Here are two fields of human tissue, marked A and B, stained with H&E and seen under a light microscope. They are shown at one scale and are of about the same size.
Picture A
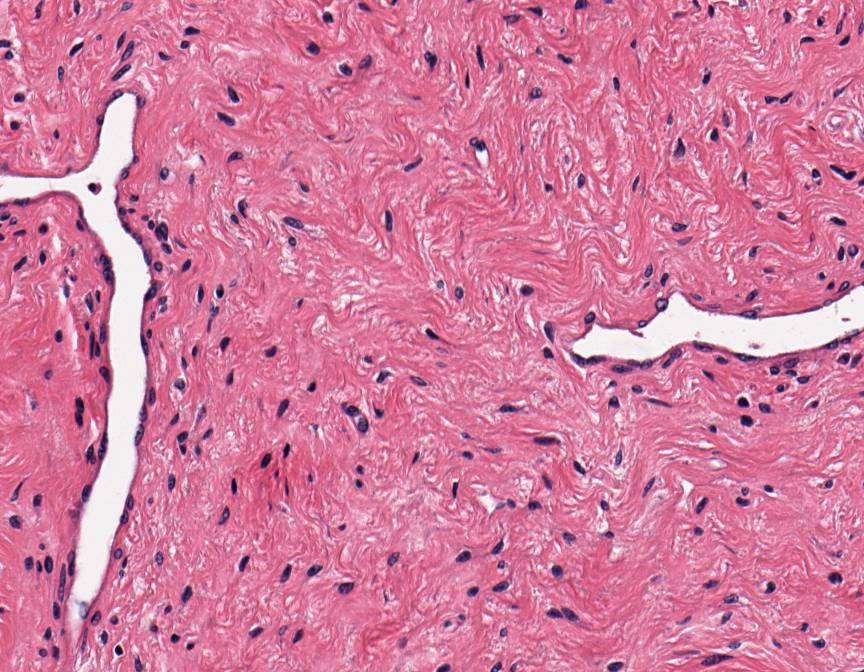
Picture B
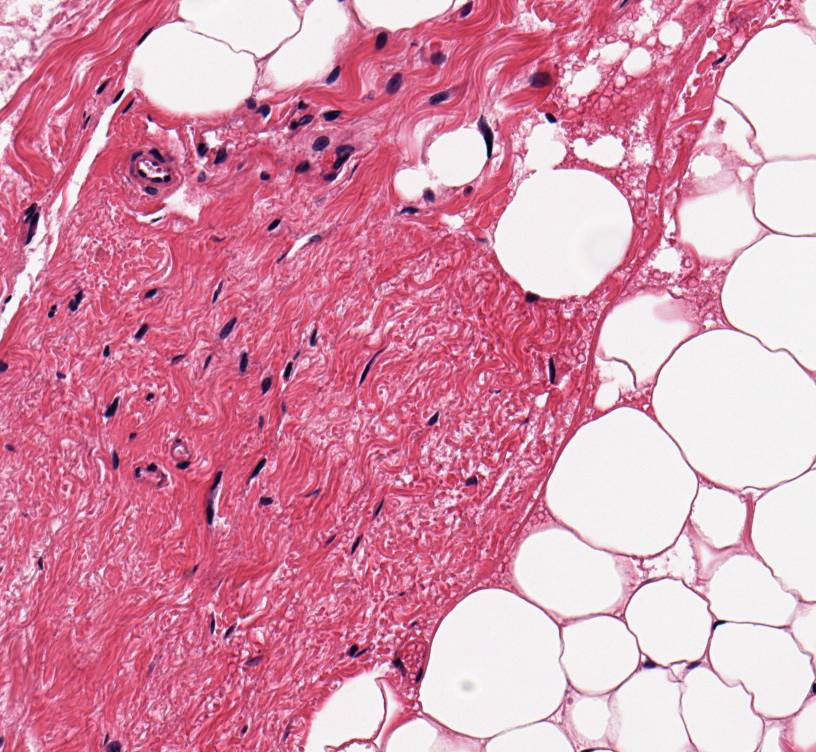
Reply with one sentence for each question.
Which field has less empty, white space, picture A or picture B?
Picture A has less white space.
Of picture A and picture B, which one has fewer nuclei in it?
It is picture B that has fewer nuclei in it.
